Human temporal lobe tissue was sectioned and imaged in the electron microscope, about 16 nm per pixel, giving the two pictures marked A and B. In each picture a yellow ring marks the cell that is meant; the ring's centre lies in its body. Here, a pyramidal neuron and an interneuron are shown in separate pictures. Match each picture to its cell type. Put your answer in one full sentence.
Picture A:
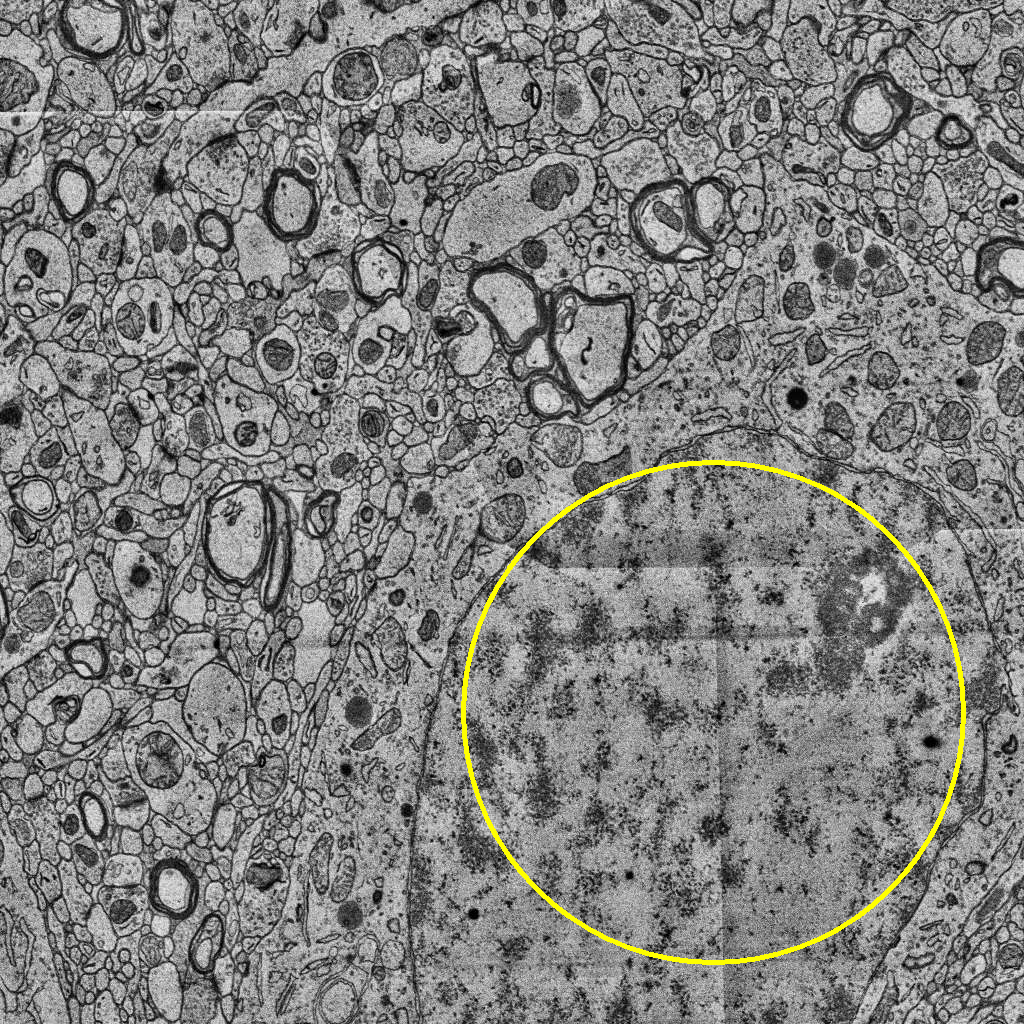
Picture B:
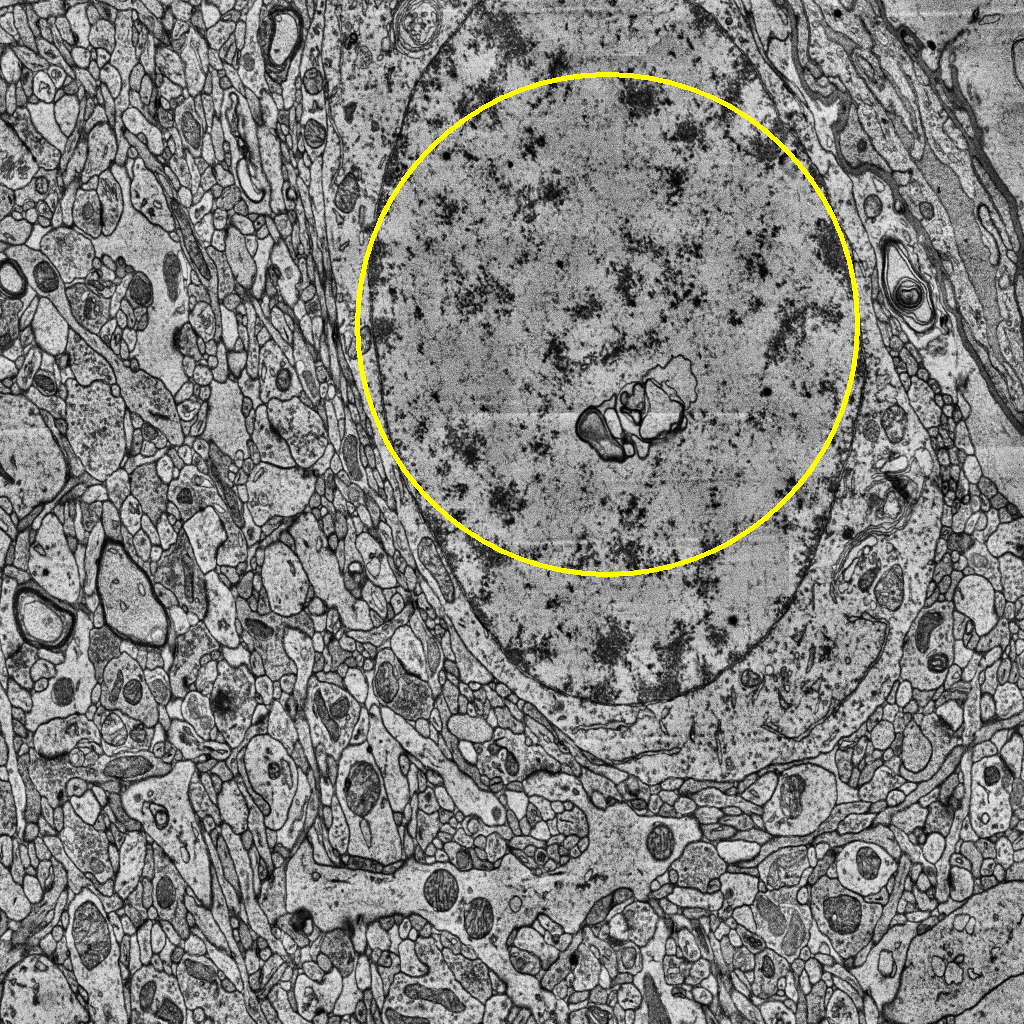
The cell in picture A is an interneuron, and the one in picture B is a pyramidal neuron.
